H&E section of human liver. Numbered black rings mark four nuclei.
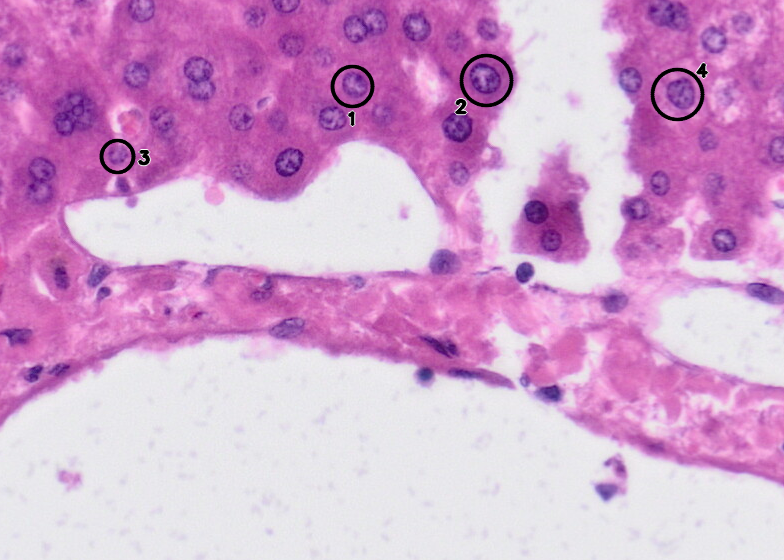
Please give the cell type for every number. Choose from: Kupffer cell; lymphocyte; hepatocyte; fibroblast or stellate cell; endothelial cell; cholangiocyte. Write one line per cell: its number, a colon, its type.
1: hepatocyte
2: hepatocyte
3: cholangiocyte
4: hepatocyte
